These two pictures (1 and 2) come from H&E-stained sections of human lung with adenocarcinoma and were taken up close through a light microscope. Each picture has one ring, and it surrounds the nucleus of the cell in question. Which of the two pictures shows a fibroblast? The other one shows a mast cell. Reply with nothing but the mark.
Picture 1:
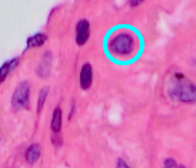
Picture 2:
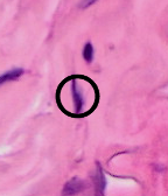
2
